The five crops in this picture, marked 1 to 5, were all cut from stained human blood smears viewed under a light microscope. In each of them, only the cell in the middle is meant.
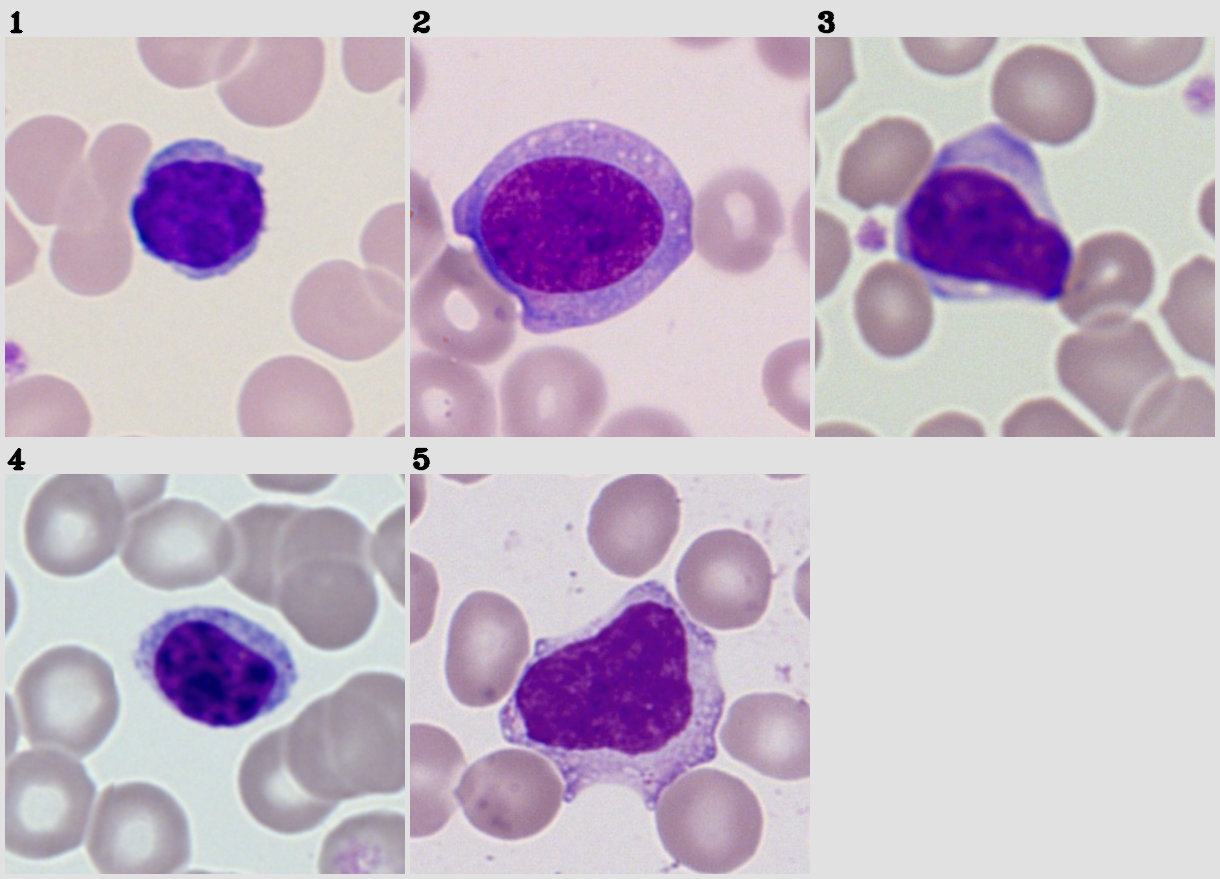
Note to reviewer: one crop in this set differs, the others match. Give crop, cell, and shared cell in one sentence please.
The exception is crop 2: it is a myeloblast, and the others are all lymphocytes.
